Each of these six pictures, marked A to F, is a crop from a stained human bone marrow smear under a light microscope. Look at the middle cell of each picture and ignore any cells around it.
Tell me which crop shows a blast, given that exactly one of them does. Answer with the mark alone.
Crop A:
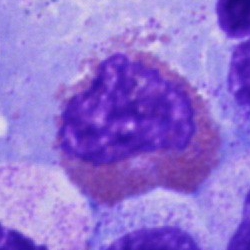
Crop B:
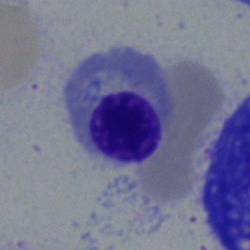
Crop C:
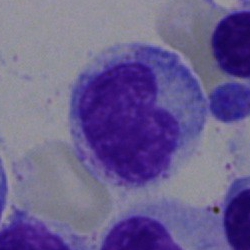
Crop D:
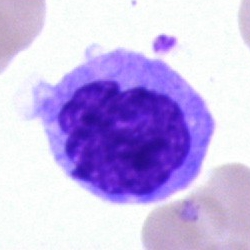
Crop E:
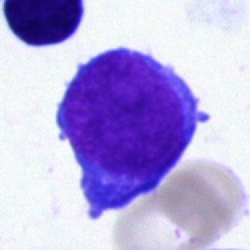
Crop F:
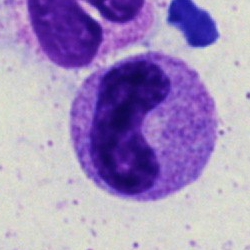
E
